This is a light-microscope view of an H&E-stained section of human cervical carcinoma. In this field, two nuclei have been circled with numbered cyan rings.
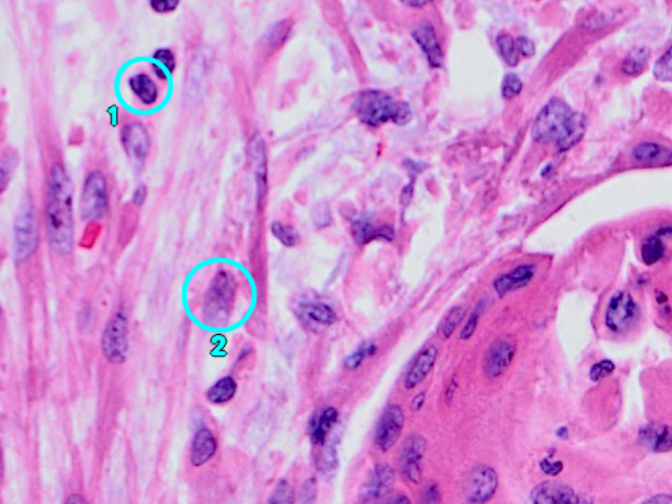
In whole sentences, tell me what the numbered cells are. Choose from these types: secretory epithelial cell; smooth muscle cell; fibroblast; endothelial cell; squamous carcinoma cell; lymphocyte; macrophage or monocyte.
Cell 1 is a lymphocyte and cell 2 is a fibroblast.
